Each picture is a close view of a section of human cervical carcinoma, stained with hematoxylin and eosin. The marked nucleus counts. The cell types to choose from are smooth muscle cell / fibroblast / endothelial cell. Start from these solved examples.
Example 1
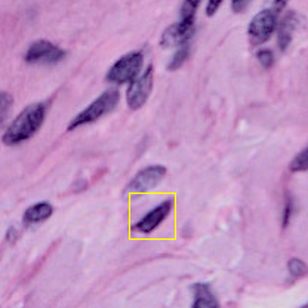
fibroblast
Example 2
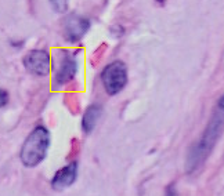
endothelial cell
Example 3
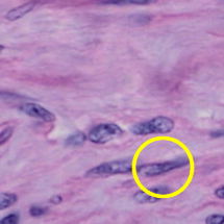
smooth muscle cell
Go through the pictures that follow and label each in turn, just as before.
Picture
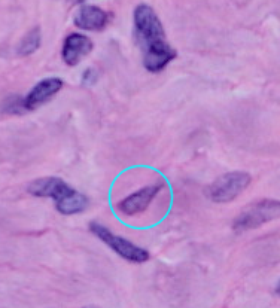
fibroblast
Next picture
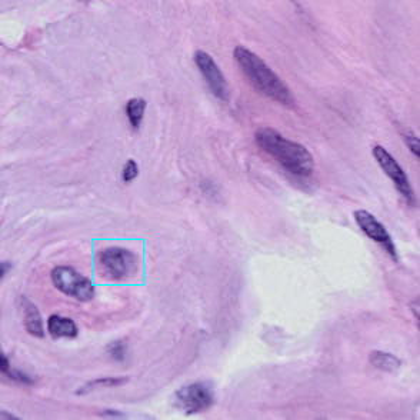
endothelial cell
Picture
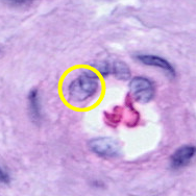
endothelial cell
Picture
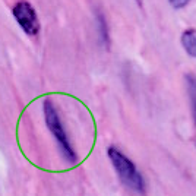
fibroblast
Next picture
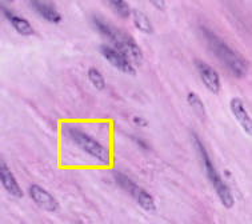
smooth muscle cell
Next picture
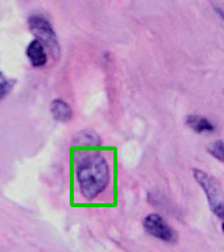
endothelial cell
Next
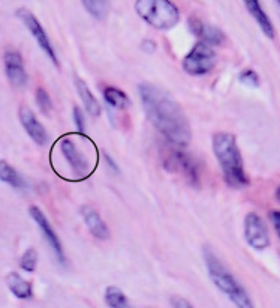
smooth muscle cell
